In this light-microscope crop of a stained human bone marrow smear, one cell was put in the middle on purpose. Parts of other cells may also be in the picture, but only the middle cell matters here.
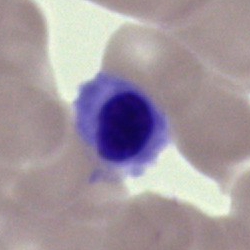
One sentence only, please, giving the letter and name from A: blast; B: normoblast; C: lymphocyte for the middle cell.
Option B is accurate; the centrally placed cell is a normoblast.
